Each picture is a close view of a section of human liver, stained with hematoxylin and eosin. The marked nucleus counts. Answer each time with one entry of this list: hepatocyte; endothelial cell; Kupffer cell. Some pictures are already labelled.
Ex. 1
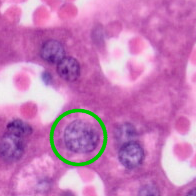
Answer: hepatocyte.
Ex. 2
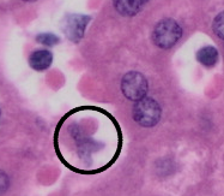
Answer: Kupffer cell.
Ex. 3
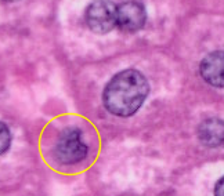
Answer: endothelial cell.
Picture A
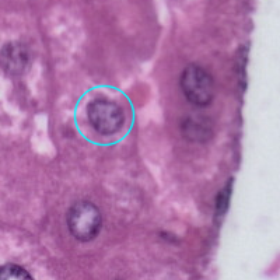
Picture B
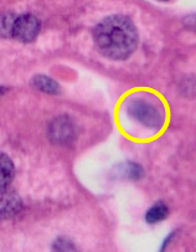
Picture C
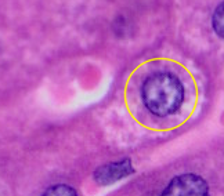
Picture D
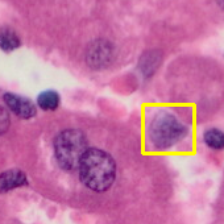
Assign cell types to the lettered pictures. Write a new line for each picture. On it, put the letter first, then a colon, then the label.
A: hepatocyte.
B: endothelial cell.
C: hepatocyte.
D: endothelial cell.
